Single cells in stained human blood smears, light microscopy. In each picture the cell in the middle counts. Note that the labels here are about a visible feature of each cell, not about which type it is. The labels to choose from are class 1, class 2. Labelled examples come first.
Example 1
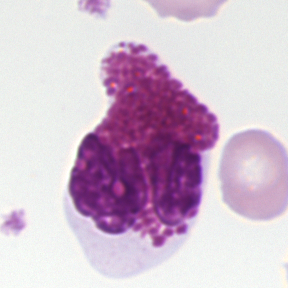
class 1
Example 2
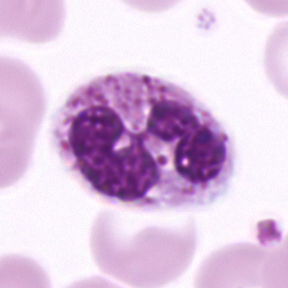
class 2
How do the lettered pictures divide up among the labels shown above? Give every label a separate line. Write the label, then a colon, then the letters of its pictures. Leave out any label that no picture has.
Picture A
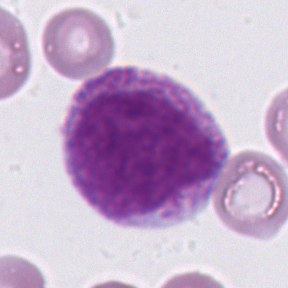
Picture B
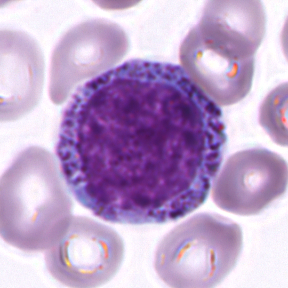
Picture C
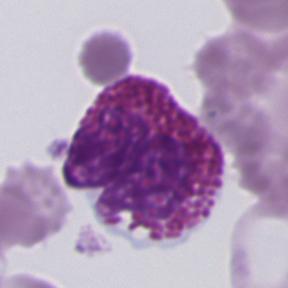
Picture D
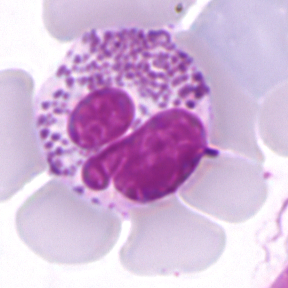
class 1: B, C, D
class 2: A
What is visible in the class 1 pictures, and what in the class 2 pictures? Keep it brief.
class 1, coarse or large granules; class 2, fine or small granules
